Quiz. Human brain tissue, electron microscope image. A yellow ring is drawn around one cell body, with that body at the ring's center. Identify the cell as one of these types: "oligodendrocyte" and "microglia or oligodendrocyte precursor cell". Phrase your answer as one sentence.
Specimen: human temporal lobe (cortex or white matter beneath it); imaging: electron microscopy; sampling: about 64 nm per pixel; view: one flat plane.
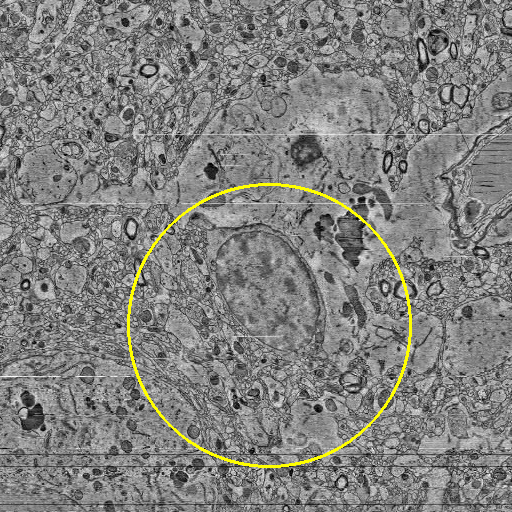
At the center of the ring sits an oligodendrocyte.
